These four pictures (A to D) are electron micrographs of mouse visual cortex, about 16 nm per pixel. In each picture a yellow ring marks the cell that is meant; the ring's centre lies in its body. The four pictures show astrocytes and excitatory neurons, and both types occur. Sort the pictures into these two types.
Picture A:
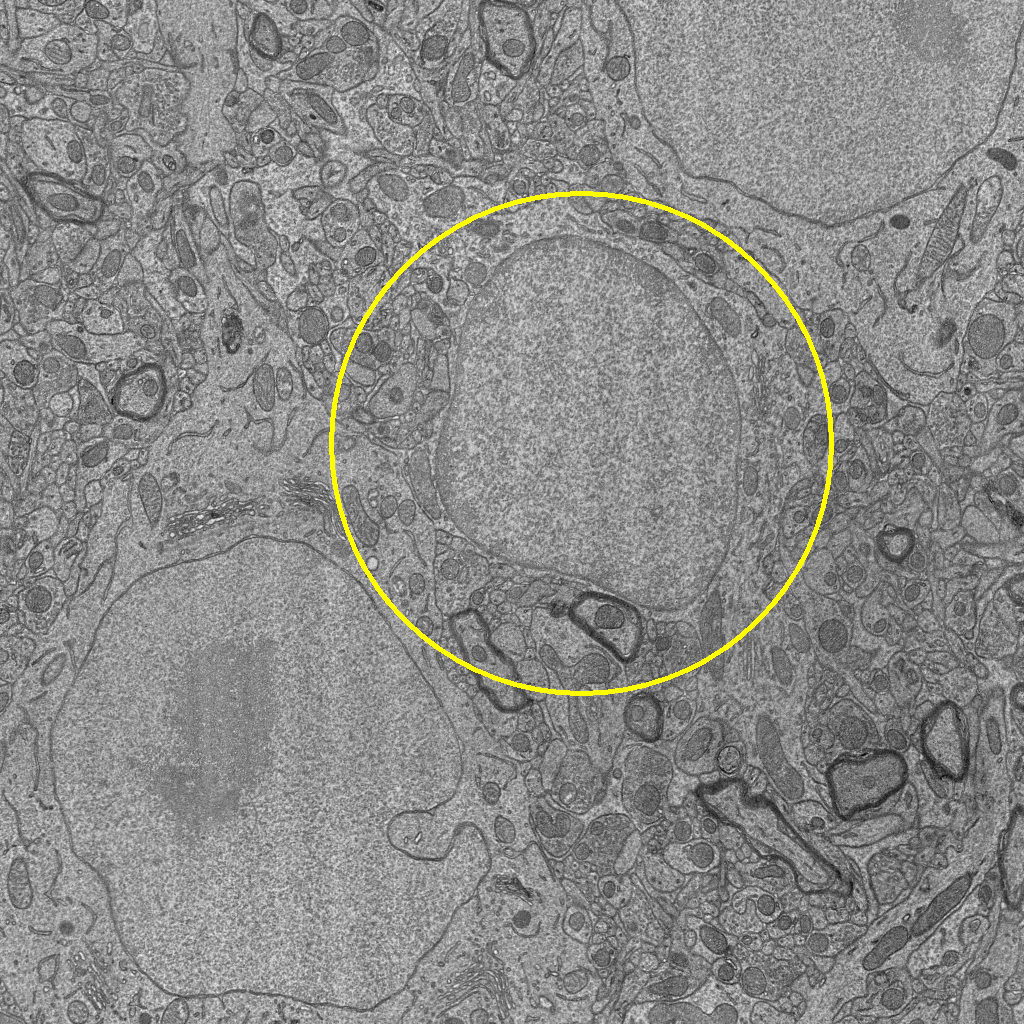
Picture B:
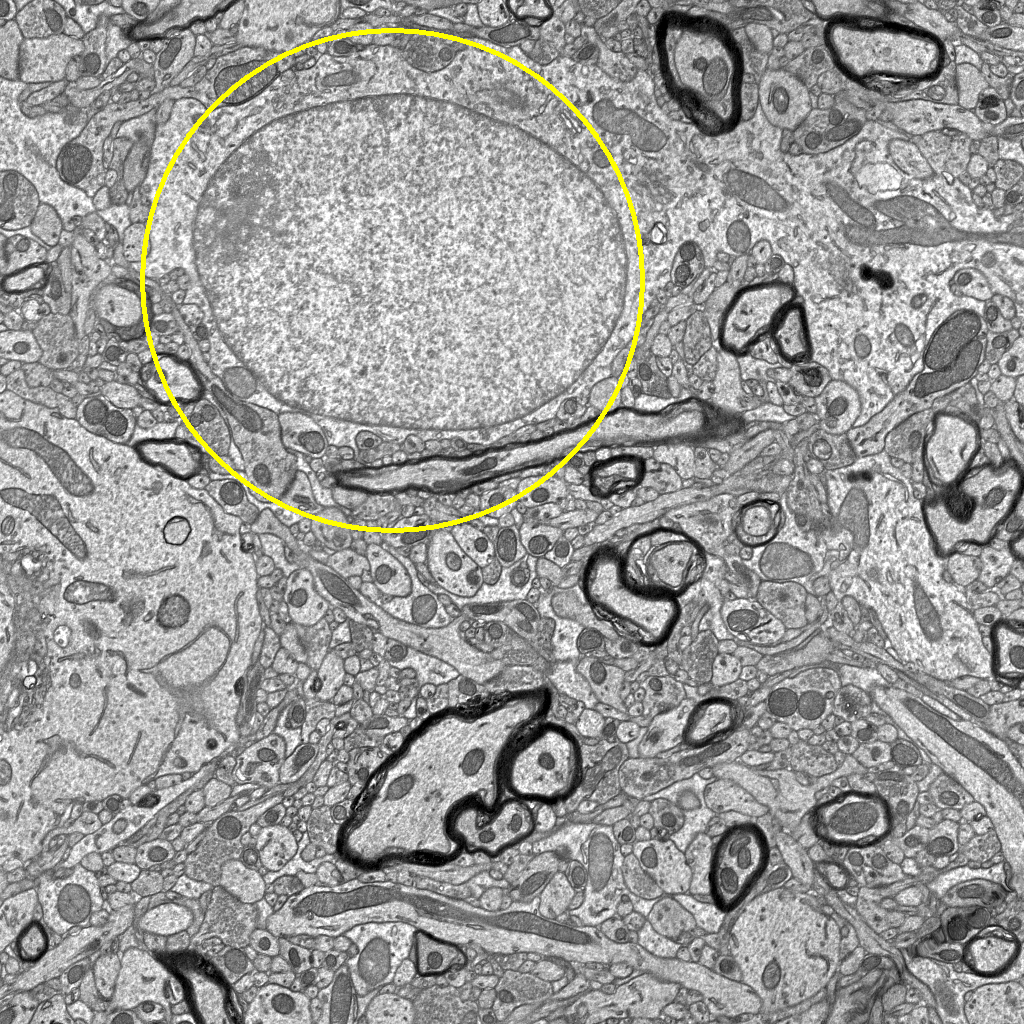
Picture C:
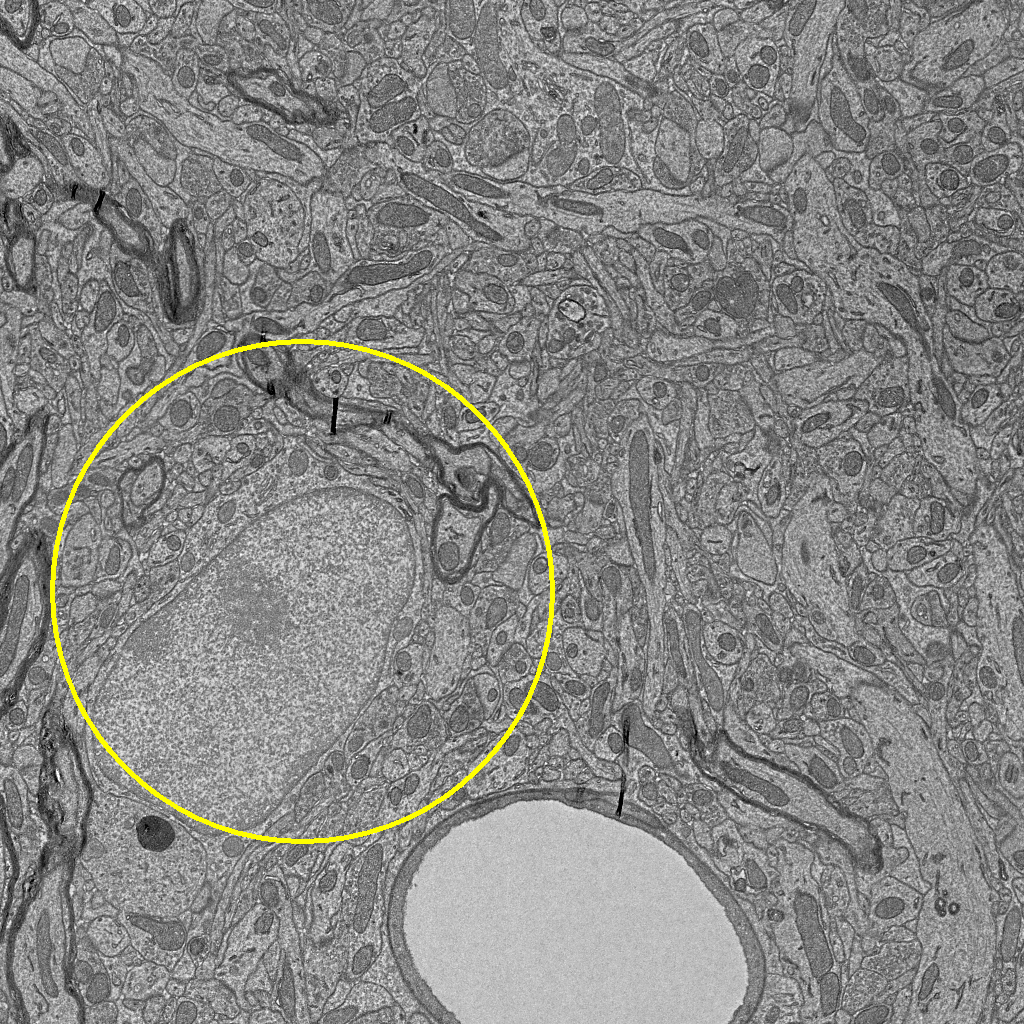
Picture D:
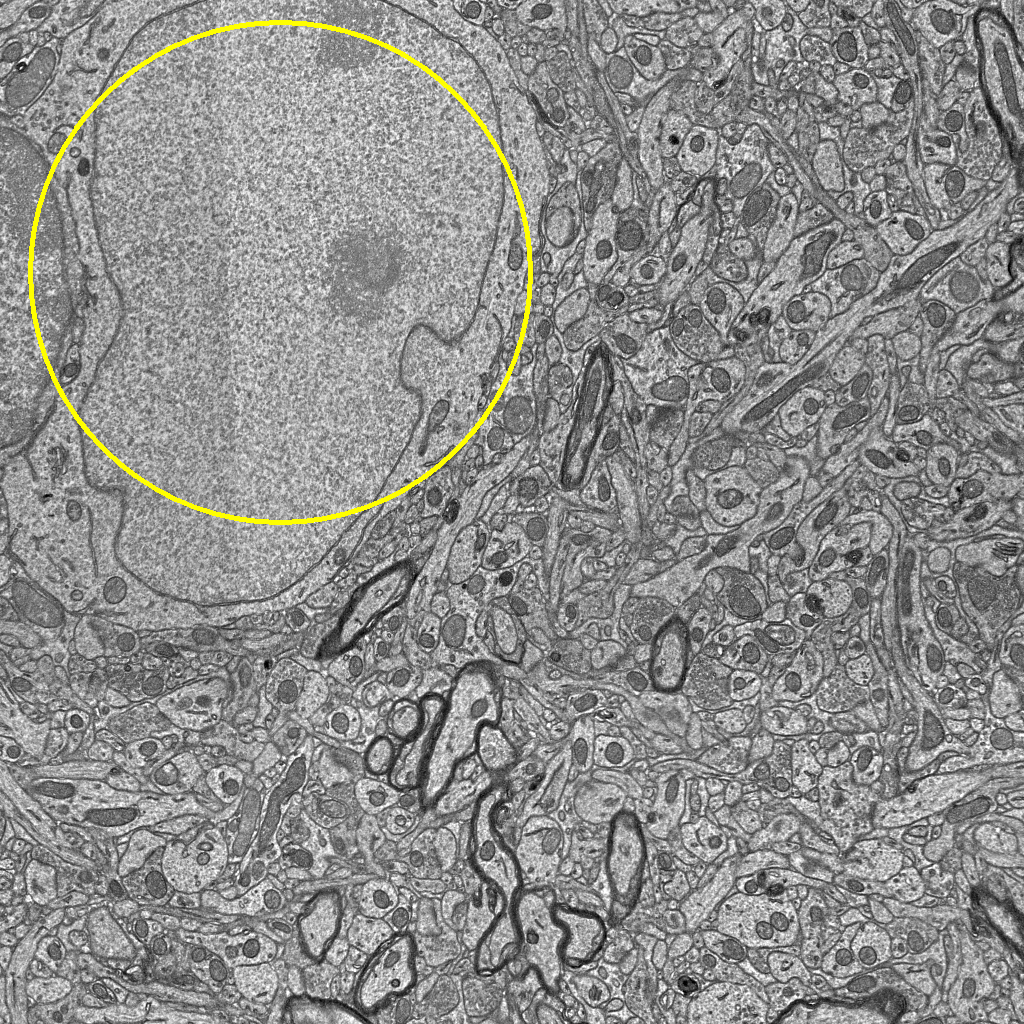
Pictures A, B and C show astrocytes, while picture D shows an excitatory neuron.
